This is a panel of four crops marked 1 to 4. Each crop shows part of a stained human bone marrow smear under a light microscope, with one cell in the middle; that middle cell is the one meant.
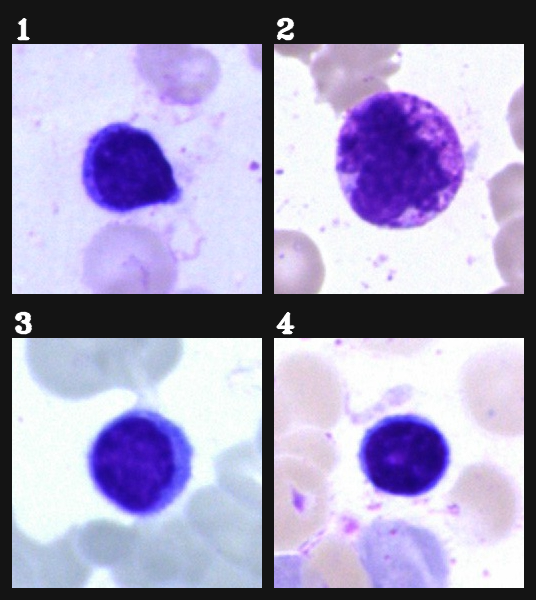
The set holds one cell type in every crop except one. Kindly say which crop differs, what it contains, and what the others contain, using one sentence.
In contrast to the other crops, all of which show lymphocytes, crop 2 shows a basophil.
